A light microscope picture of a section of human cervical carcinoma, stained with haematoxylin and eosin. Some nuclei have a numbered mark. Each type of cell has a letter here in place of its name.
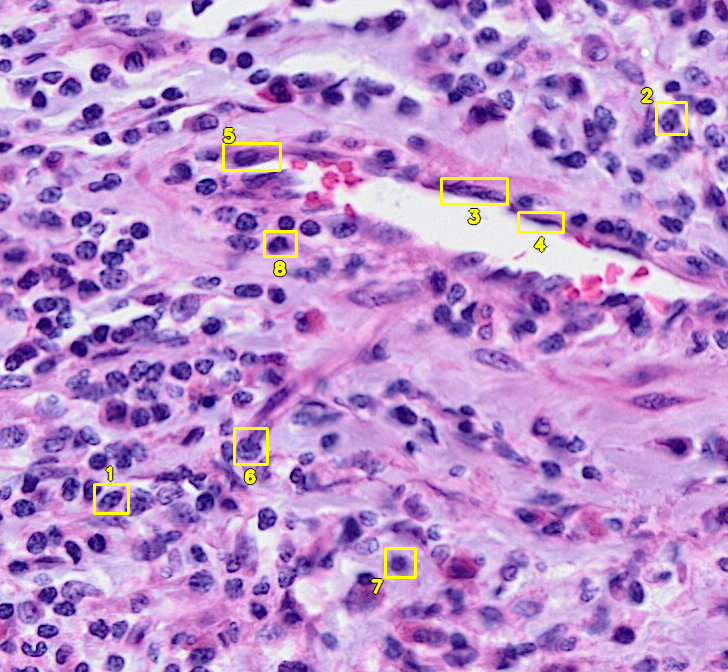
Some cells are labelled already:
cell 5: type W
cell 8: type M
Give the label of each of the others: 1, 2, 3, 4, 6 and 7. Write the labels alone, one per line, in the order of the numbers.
type M
type M
type W
type W
type M
type M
